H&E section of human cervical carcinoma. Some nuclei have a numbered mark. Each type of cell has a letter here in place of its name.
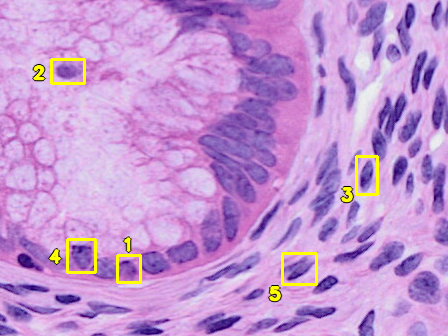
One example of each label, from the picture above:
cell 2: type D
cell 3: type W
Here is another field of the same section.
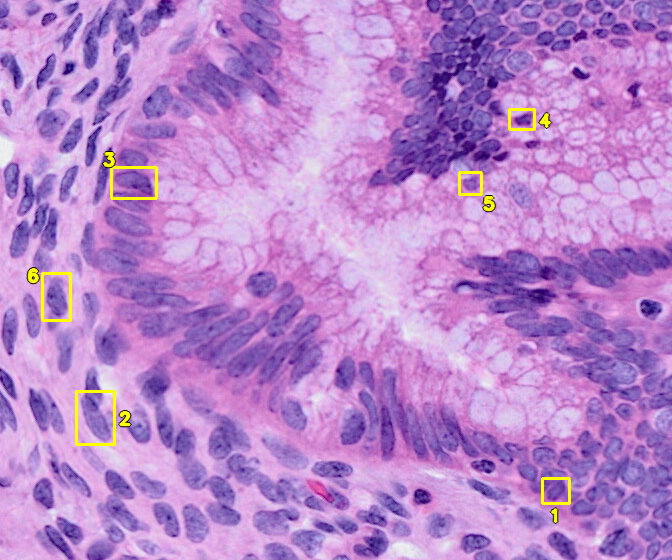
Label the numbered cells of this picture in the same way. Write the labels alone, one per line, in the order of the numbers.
type D
type W
type D
type D
type D
type W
